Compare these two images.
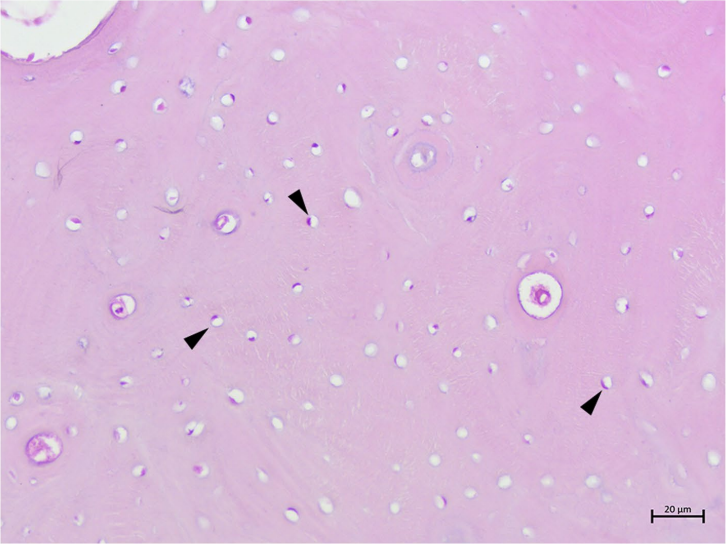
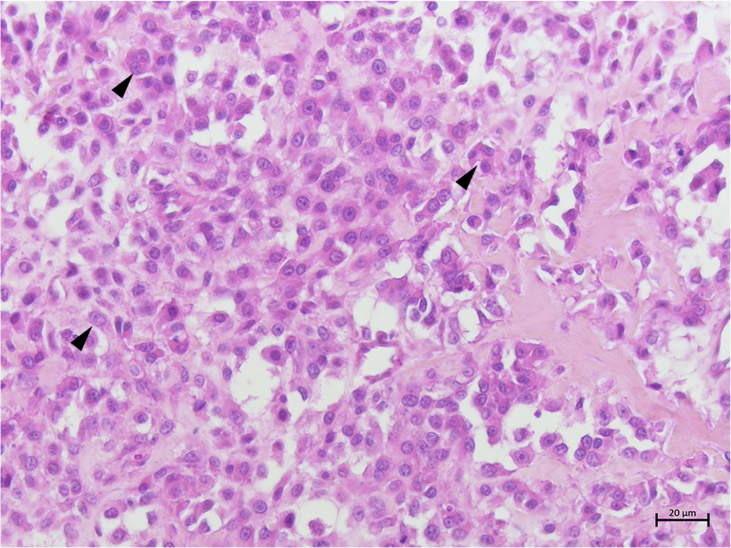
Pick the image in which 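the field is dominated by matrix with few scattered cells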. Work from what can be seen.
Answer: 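First image: broad pink matrix with small, widely spaced cells in lacunae. On this evidence: the first image.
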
